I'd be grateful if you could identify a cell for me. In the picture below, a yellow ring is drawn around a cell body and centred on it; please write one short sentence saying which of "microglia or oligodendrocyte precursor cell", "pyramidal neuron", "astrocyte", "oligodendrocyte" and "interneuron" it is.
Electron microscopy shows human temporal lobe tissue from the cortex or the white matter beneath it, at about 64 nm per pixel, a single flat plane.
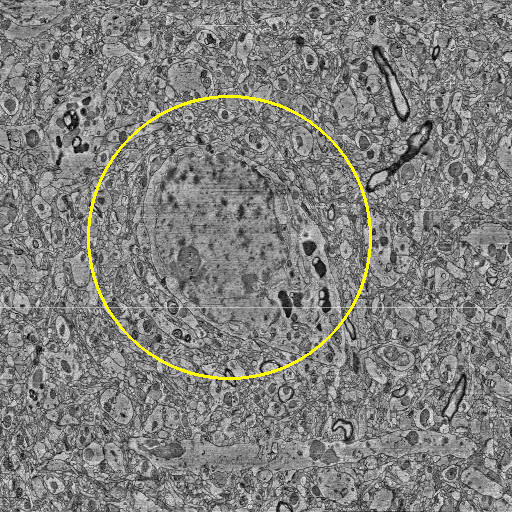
The cell under the ring's centre is an interneuron.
